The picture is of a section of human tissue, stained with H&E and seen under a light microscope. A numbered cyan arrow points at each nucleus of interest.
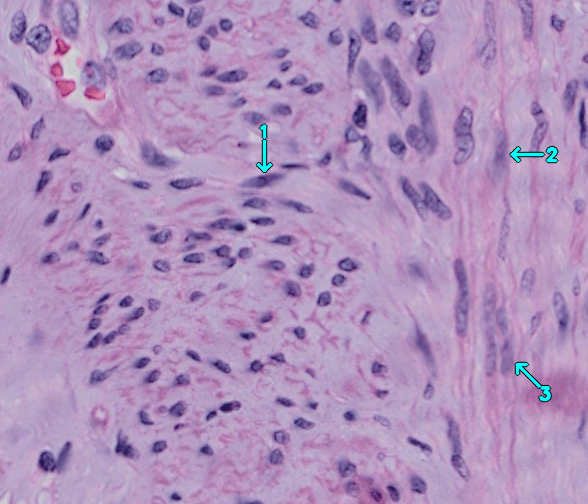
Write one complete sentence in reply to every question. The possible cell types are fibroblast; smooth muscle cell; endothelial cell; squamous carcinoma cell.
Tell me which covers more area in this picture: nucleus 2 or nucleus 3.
The larger nucleus is 2, at roughly 1.5 times the area of 3.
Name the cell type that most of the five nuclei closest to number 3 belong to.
Around number 3, most of the five nearest nuclei are those of smooth muscle cells.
